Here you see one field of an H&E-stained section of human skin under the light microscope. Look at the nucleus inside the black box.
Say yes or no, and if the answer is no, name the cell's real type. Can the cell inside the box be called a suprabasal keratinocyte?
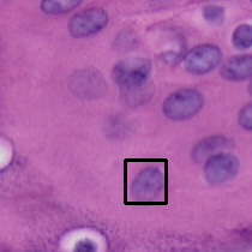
Yes.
